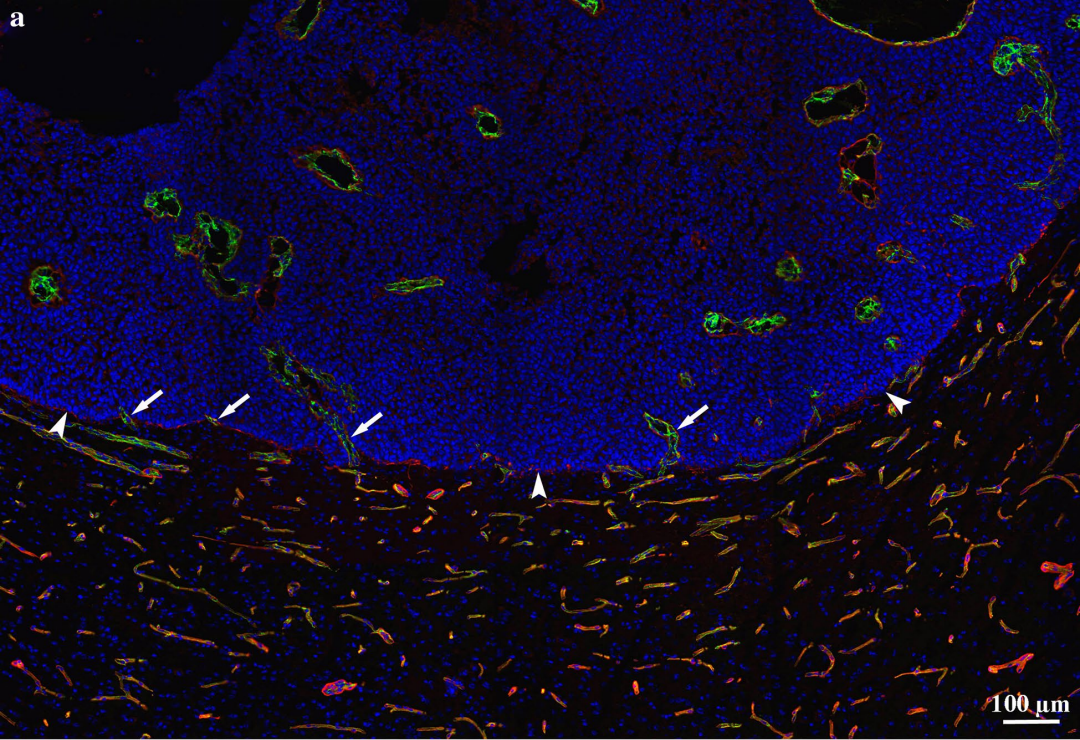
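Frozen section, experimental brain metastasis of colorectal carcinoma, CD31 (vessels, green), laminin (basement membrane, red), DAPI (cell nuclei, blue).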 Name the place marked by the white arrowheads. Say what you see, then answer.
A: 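The arrowheads lie along a curved border between a densely packed blue-nucleated region above and sparsely nucleated tissue below. A thin red line runs along this border. The answer: tumorparenchyma interface.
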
